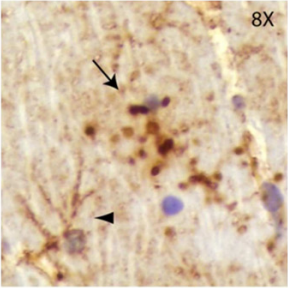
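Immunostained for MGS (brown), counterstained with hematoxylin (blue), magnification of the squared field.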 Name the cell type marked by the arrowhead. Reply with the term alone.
Astrocyte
